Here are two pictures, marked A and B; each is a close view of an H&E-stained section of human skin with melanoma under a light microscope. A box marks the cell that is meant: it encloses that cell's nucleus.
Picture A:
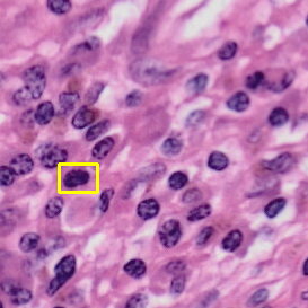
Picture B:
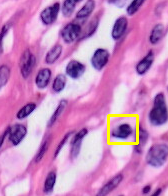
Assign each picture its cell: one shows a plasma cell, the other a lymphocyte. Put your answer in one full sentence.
Picture B shows a lymphocyte, while picture A shows a plasma cell.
